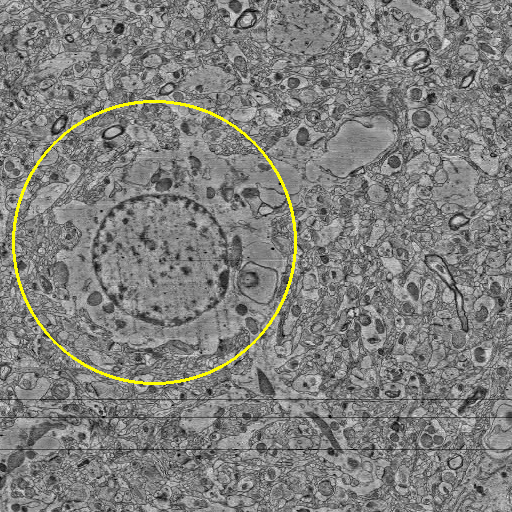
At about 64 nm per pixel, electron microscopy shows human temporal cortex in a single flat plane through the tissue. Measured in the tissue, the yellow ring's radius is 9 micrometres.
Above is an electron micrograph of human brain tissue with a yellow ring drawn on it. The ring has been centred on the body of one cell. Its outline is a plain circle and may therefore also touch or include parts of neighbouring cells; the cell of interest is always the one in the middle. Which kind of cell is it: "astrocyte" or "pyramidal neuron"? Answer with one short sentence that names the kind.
The ring's central cell body is that of an astrocyte.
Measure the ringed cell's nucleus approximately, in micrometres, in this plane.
About 9 micrometres across in this plane, for the nucleus.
